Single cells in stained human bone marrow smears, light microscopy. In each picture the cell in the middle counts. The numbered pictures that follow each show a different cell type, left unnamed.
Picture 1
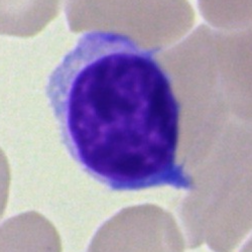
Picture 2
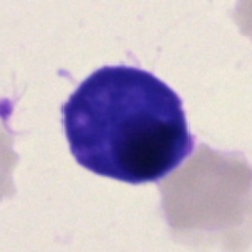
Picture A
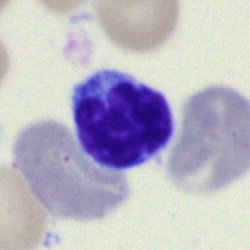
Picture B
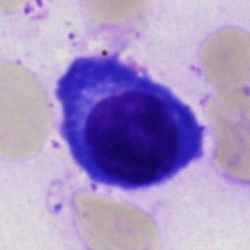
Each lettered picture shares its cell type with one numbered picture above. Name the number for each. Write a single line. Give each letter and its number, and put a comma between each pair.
A 1, B 2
